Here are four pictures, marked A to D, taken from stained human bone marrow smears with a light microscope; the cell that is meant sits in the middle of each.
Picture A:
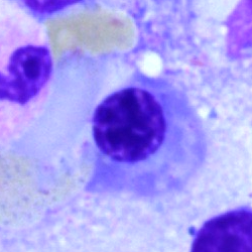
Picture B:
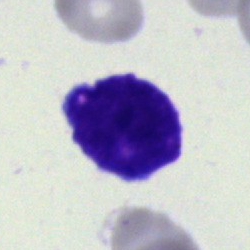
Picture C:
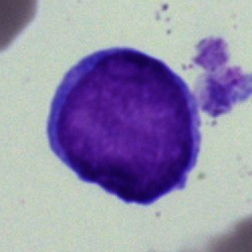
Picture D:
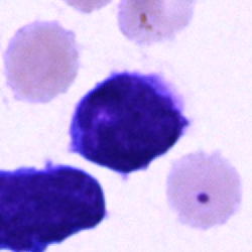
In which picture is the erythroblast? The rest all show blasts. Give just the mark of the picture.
A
